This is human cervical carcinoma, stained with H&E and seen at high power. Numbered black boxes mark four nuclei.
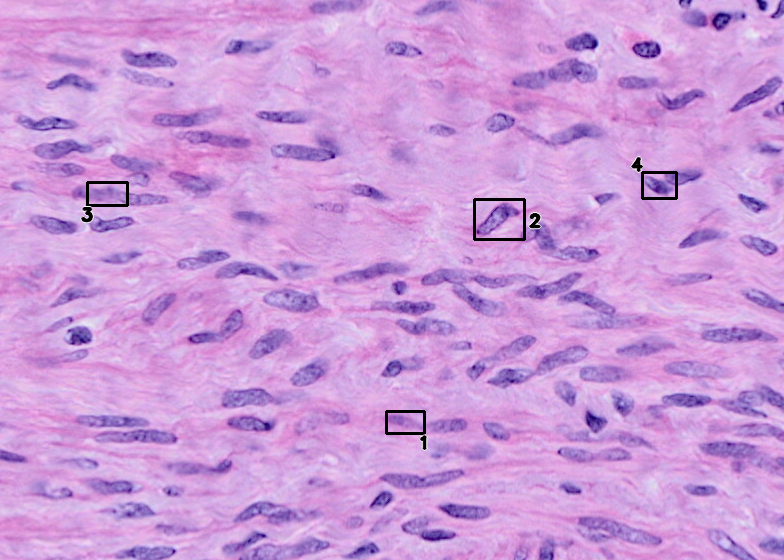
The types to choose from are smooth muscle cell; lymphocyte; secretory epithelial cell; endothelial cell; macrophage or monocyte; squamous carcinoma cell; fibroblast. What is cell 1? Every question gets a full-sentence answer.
The cell marked with number 1 is a smooth muscle cell.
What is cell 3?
The cell that carries the label 3 is a smooth muscle cell.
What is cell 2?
The marked nucleus 2 is that of a smooth muscle cell.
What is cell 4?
At number 4, the marked cell is a fibroblast.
